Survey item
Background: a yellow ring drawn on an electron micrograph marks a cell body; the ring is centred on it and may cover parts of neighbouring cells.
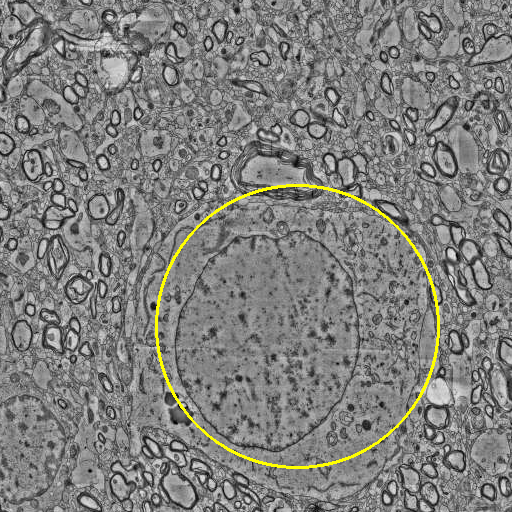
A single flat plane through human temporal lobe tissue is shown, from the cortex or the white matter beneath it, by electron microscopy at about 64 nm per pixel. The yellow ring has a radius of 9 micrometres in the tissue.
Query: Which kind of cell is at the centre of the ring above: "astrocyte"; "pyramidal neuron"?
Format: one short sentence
The cell in the middle of the ring is a pyramidal neuron.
